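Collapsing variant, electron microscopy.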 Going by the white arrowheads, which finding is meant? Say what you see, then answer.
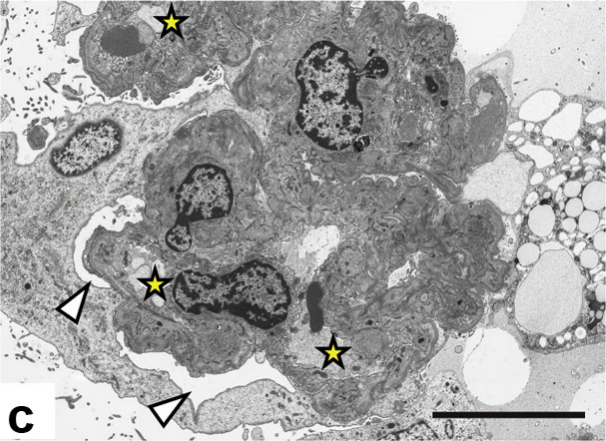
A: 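The arrowheads point to pale widened gaps beneath overlying cell layers at the edge of the tuft.
Conclusion: expansion of the subpodocyte space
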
